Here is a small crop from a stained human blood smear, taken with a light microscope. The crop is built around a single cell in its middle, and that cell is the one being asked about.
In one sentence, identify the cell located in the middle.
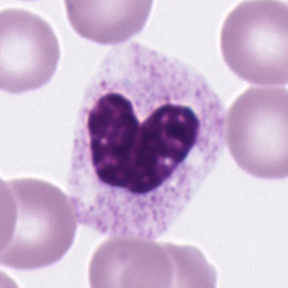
Classification of the middle cell gives a segmented neutrophil.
